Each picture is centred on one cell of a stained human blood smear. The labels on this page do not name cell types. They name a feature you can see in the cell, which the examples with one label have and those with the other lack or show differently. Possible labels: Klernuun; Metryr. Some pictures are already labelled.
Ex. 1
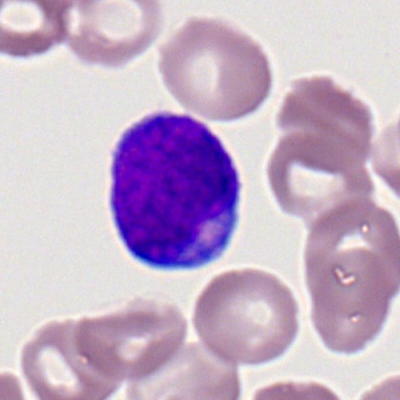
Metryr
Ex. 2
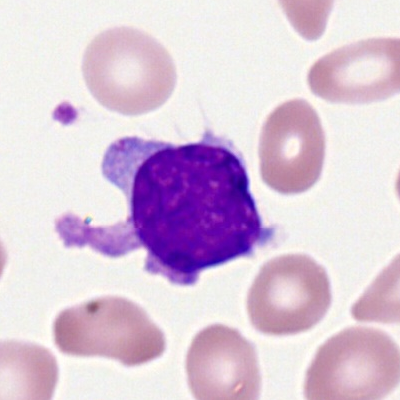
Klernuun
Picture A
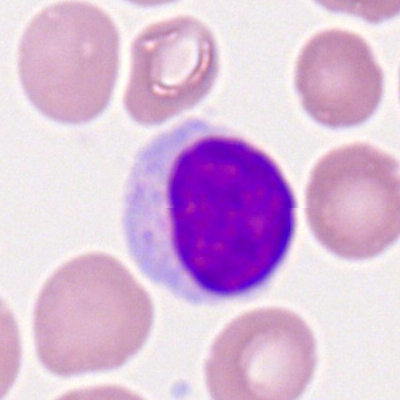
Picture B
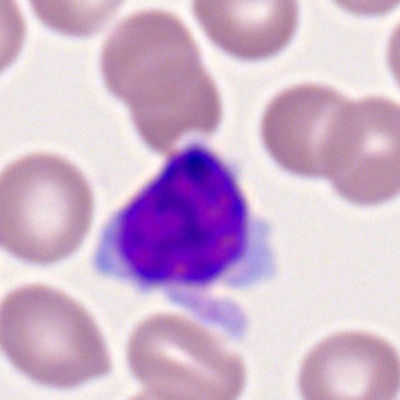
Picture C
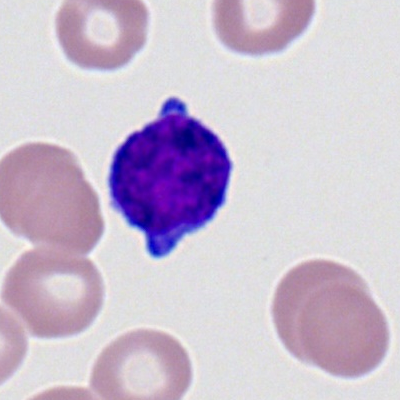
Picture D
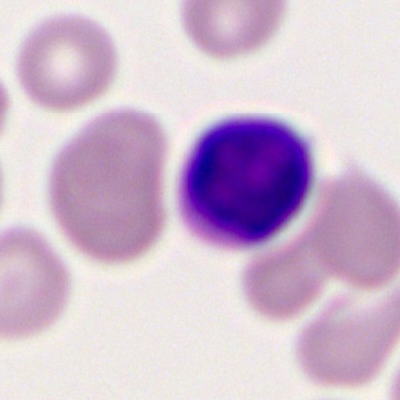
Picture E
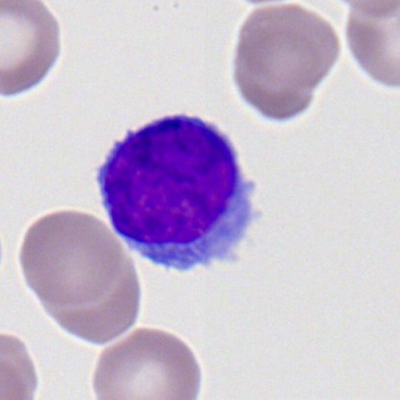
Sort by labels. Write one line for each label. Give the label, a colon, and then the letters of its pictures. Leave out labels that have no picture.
Klernuun: B, C, E
Metryr: A, D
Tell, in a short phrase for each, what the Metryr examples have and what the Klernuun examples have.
Metryr: smooth outline; Klernuun: ragged outline or projections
